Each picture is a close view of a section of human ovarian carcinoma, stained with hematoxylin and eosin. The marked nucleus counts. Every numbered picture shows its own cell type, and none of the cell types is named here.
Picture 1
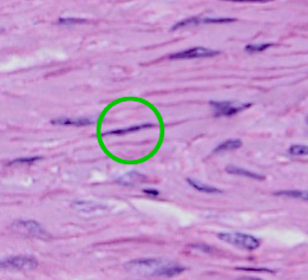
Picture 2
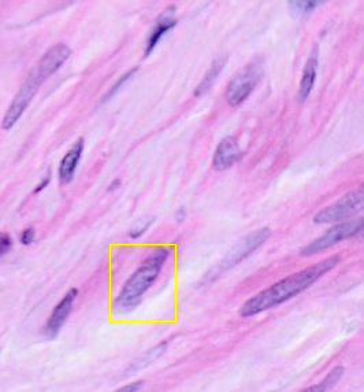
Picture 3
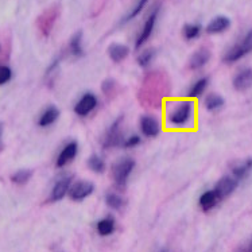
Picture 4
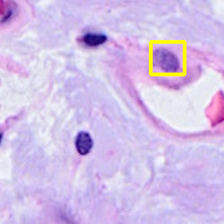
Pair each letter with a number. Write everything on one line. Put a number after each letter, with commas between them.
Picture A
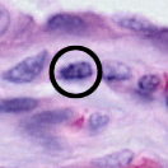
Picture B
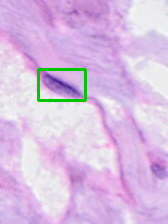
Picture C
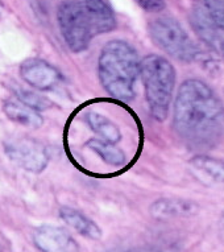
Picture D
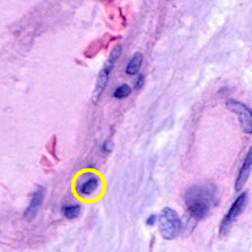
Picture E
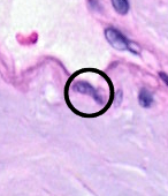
A 3, B 4, C 1, D 2, E 4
